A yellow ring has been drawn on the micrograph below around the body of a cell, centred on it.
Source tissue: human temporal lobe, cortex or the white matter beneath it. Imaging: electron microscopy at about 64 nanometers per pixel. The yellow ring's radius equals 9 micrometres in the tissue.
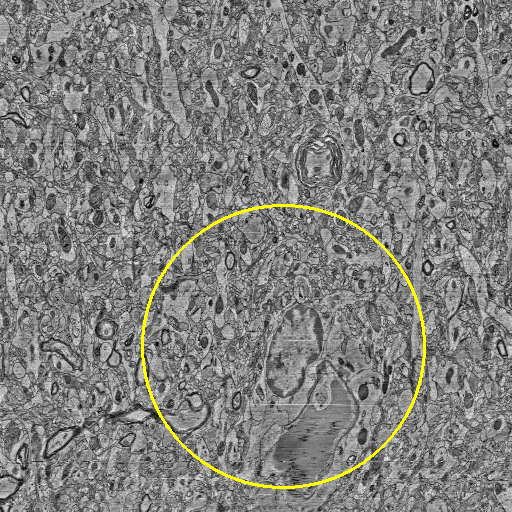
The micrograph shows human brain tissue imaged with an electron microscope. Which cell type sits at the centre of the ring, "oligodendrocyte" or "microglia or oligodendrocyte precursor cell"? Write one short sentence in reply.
The cell sitting at the centre of the ring is a microglial cell or oligodendrocyte precursor cell.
